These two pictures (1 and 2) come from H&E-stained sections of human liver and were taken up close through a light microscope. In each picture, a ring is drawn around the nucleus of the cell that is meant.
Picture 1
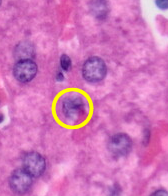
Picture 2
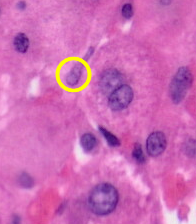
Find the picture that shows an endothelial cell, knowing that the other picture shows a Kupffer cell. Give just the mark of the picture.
1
